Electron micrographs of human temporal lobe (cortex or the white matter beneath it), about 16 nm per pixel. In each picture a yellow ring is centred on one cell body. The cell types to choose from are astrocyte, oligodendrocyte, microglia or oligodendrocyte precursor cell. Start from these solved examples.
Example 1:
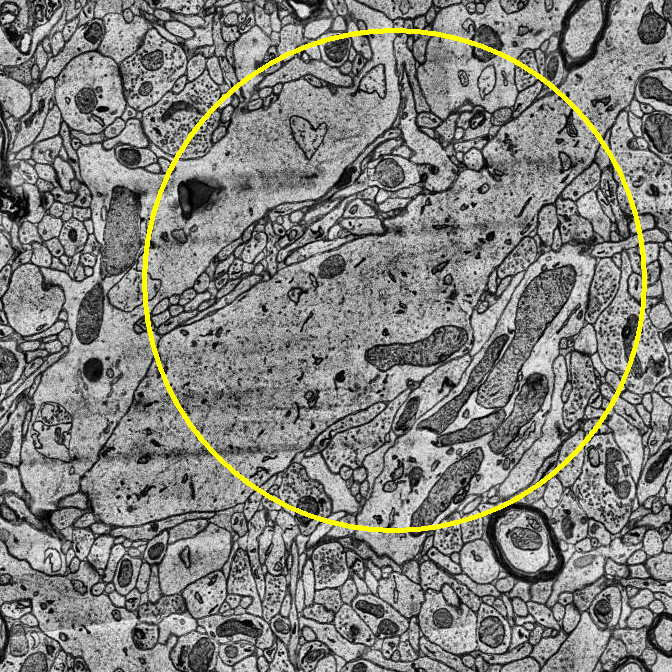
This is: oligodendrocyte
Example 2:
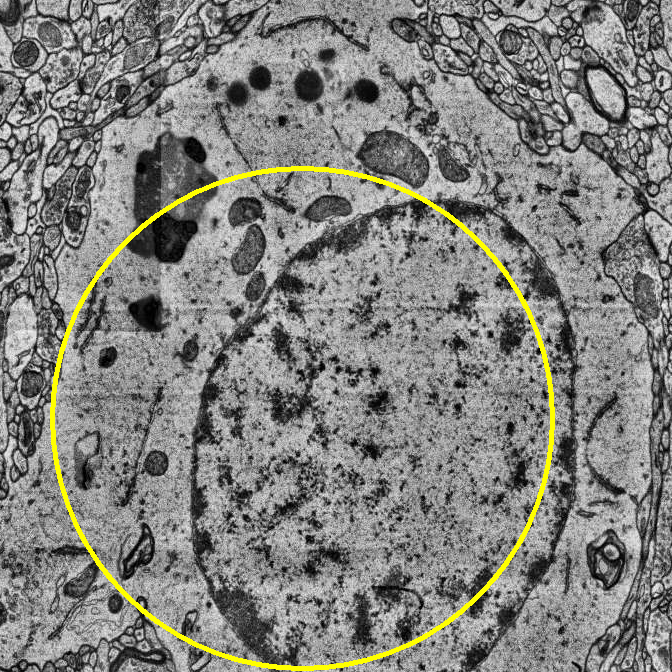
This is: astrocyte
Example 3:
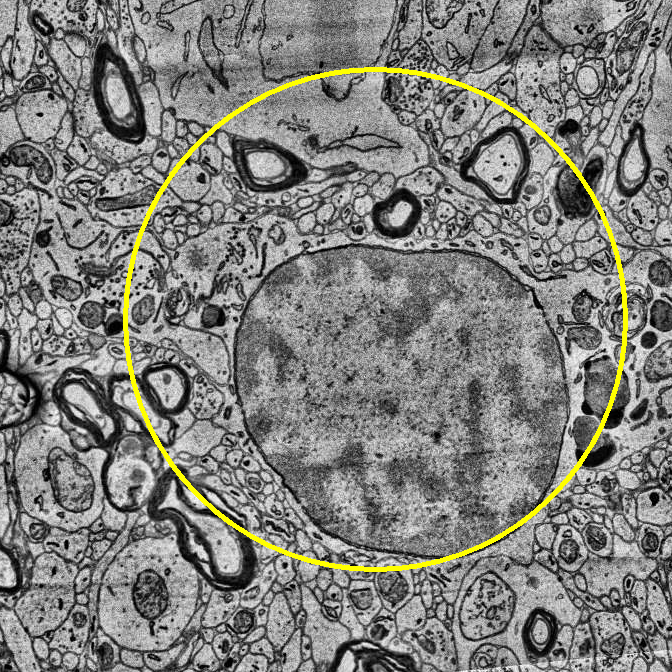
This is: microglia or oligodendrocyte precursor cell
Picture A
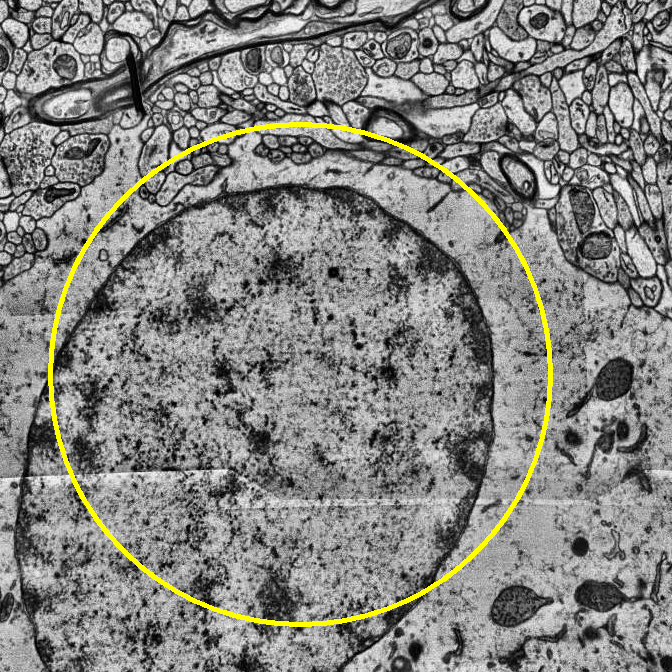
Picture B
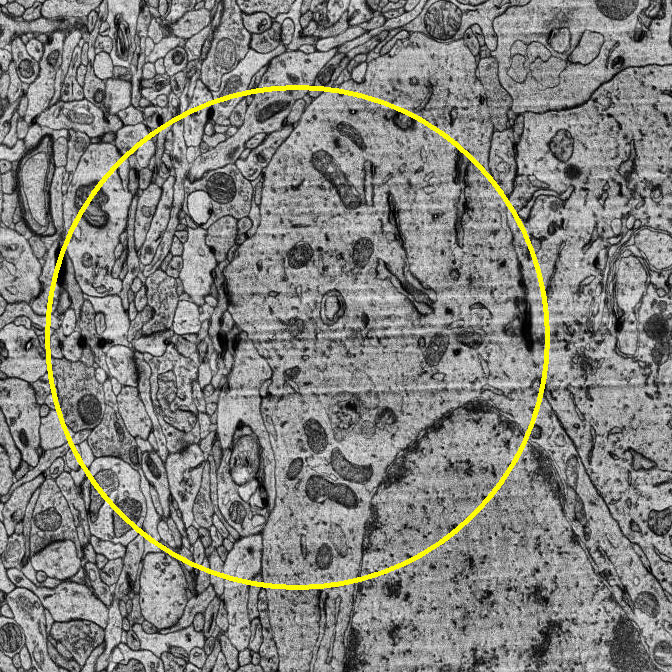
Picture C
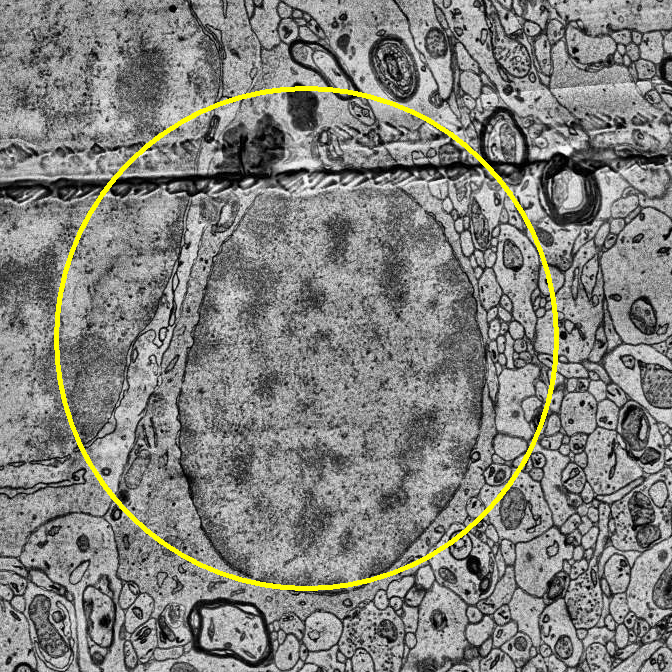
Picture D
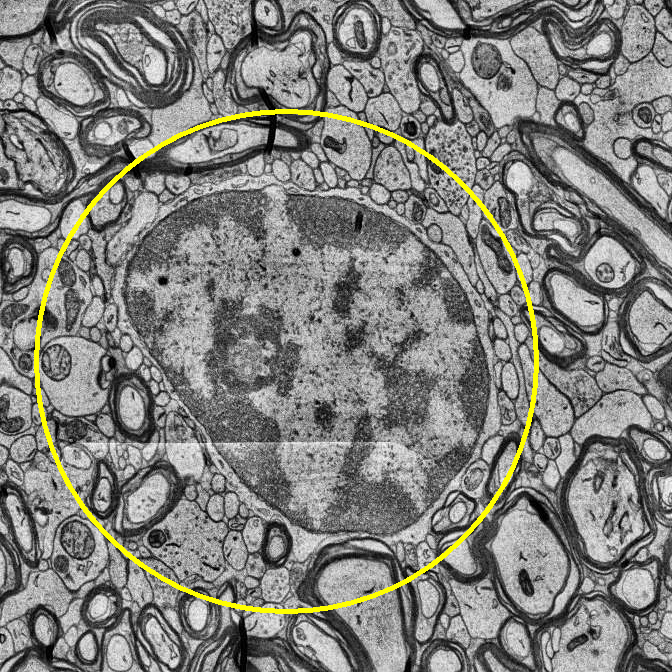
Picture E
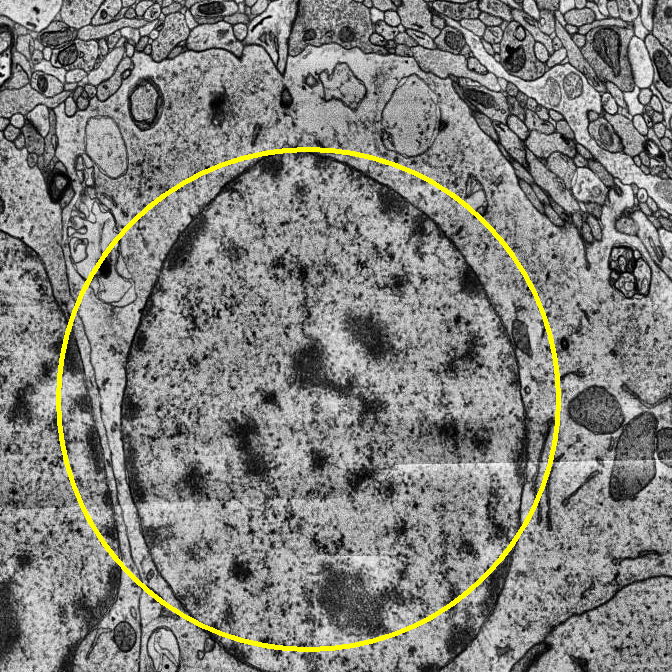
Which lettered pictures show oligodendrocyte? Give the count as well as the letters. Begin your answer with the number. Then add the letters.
Count: 1 (C)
